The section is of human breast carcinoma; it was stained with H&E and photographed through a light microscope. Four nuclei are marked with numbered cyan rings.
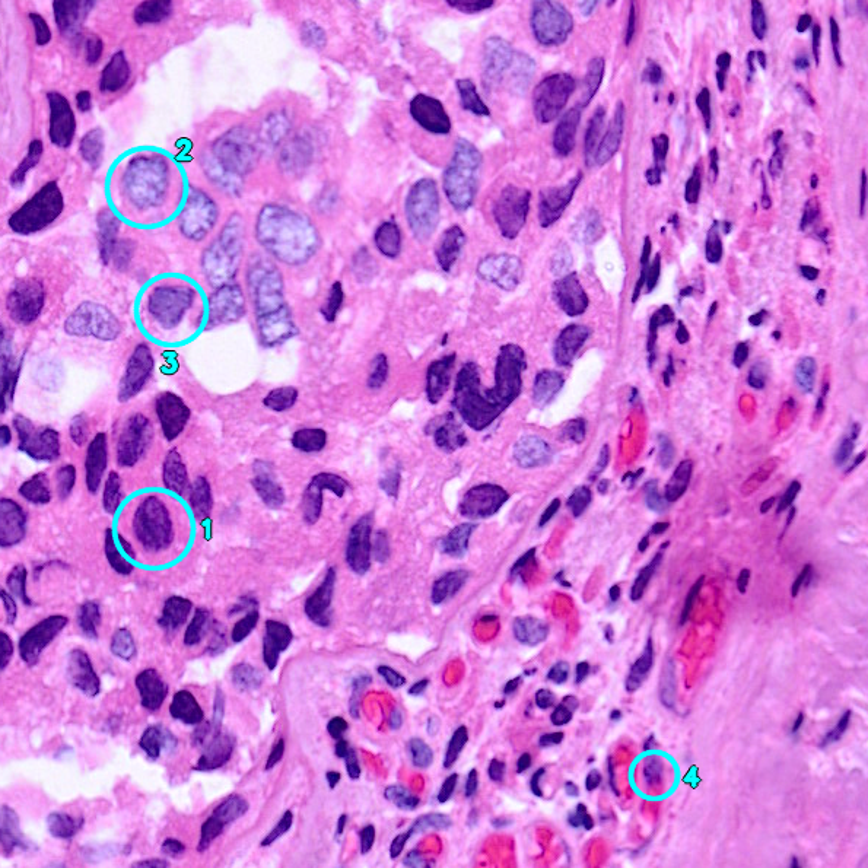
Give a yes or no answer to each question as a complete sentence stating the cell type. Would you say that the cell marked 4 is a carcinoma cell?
No, number 4 identifies an endothelial cell, not a carcinoma cell.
